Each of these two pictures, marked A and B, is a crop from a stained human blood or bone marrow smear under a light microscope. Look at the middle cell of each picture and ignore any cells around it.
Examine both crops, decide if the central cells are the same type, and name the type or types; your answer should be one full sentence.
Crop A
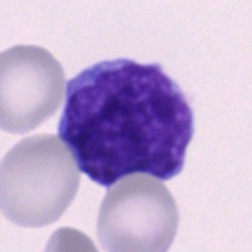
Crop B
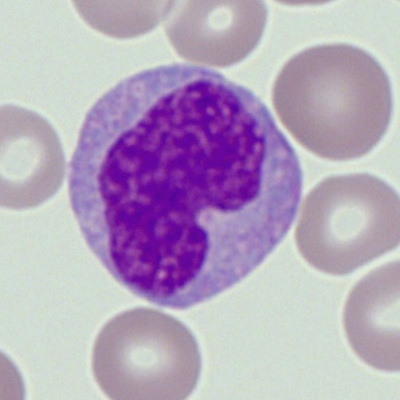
No, look again: crop A shows a blast, and crop B shows a monocyte.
